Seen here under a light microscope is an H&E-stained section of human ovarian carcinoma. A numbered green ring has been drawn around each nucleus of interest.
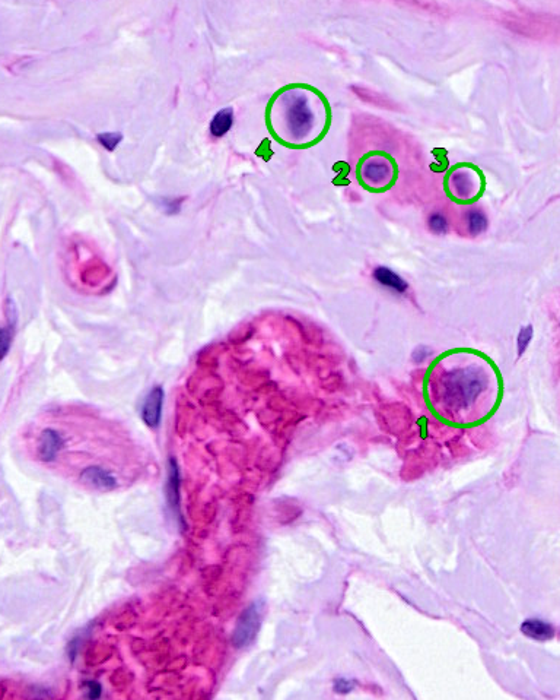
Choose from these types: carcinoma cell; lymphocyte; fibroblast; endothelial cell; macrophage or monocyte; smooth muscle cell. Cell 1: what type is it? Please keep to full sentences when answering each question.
As for number 1, that cell is an endothelial cell.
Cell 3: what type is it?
At number 3, the marked cell is a smooth muscle cell.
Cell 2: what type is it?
The cell pointed out as number 2 is a smooth muscle cell.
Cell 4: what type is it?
Cell 4 in the field of view is a fibroblast.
